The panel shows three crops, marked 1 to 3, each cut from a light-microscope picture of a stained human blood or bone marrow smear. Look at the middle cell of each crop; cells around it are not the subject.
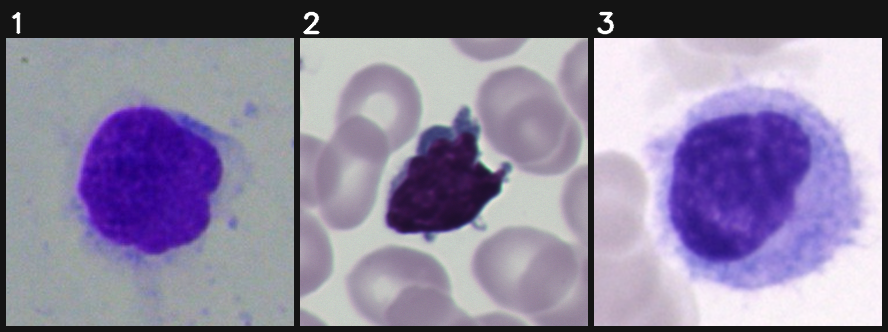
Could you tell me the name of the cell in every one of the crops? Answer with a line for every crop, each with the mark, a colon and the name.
1: hairy cell
2: lymphocyte
3: hairy cell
